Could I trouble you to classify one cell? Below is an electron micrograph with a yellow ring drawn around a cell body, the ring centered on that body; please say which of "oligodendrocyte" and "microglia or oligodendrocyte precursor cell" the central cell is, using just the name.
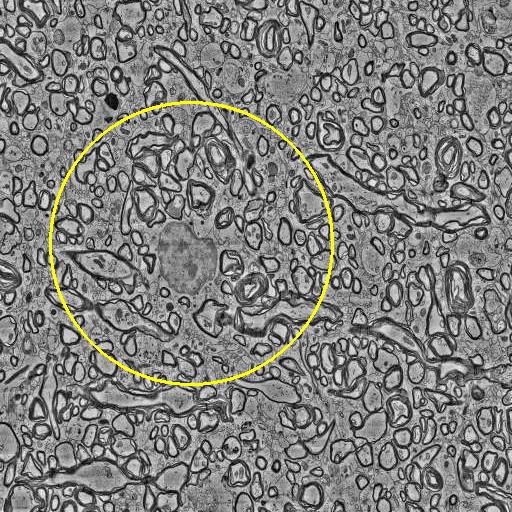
oligodendrocyte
